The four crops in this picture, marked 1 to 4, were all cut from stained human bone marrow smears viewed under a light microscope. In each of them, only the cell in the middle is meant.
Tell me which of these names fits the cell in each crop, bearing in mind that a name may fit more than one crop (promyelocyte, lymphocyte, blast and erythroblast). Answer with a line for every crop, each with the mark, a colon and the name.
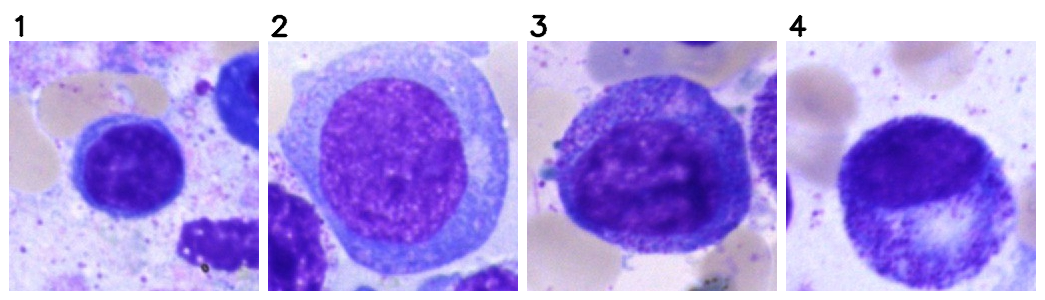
1: lymphocyte
2: blast
3: promyelocyte
4: promyelocyte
